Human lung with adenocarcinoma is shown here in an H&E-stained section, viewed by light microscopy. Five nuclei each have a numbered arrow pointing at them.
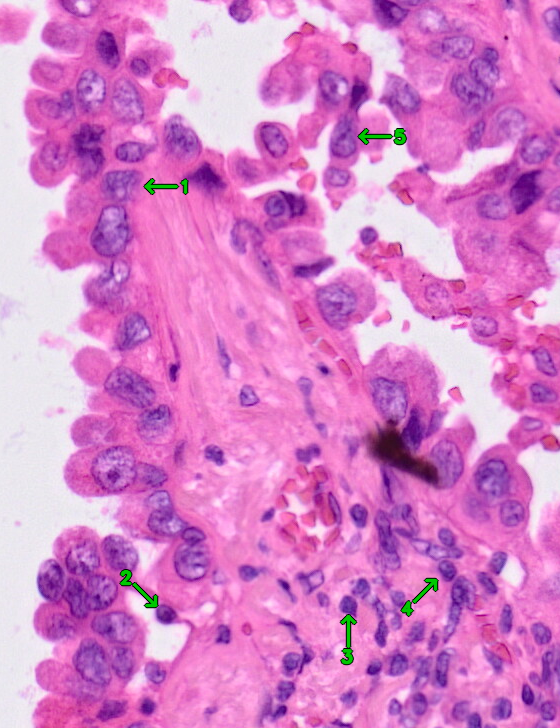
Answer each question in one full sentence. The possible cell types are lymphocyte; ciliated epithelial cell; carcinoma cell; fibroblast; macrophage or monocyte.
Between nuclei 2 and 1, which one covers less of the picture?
It is nucleus 2; nucleus 1 has about 3 times its area.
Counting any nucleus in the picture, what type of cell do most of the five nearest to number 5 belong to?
Of the five nuclei nearest to number 5, most belong to carcinoma cells.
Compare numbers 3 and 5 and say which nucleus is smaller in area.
Nucleus 3 covers less area, with nucleus 5 about 3 times as large.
